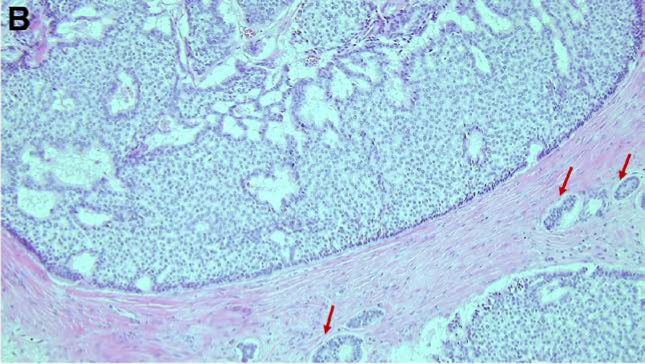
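A large lobule of tumor cells with a sharply defined, rounded border fills the upper part of the field, the cells forming dense sheets and cords with interspersed clefts and spaces. A band of pink fibrous stroma separates this lobule from neighbouring tumor tissue below. Within the stroma lie a few small, separate rounded nests of epithelial cells. The nuclei are small and fairly uniform throughout.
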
